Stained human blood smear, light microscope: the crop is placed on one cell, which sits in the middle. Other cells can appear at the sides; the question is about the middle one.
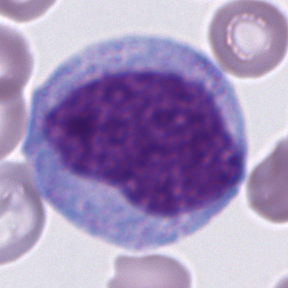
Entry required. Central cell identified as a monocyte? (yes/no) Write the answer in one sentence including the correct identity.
No, the central cell isn't a monocyte, but a promyelocyte.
